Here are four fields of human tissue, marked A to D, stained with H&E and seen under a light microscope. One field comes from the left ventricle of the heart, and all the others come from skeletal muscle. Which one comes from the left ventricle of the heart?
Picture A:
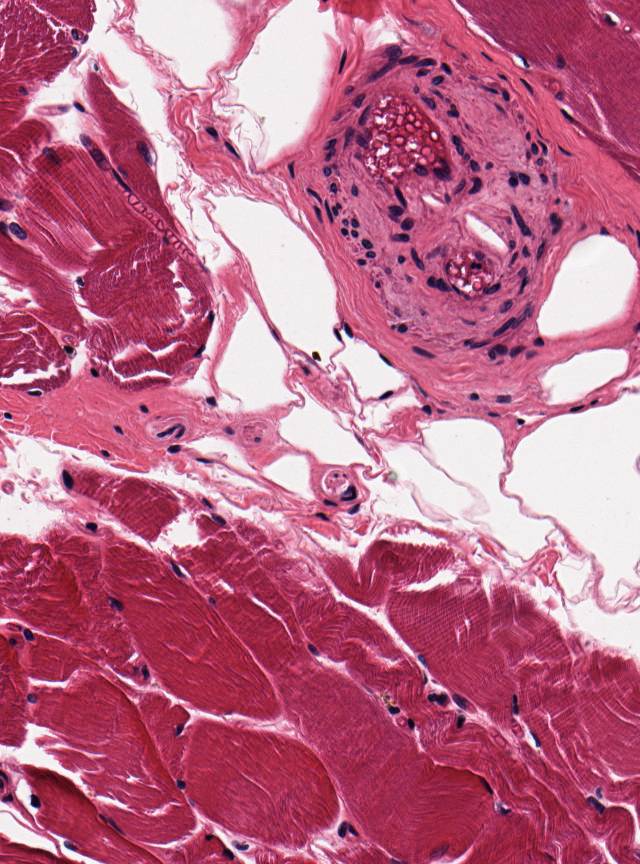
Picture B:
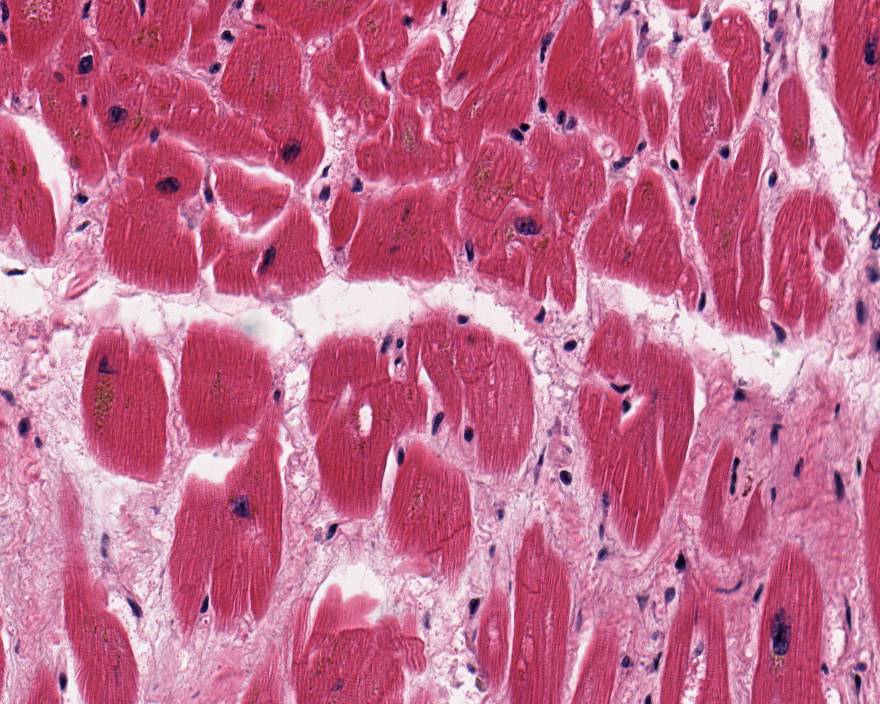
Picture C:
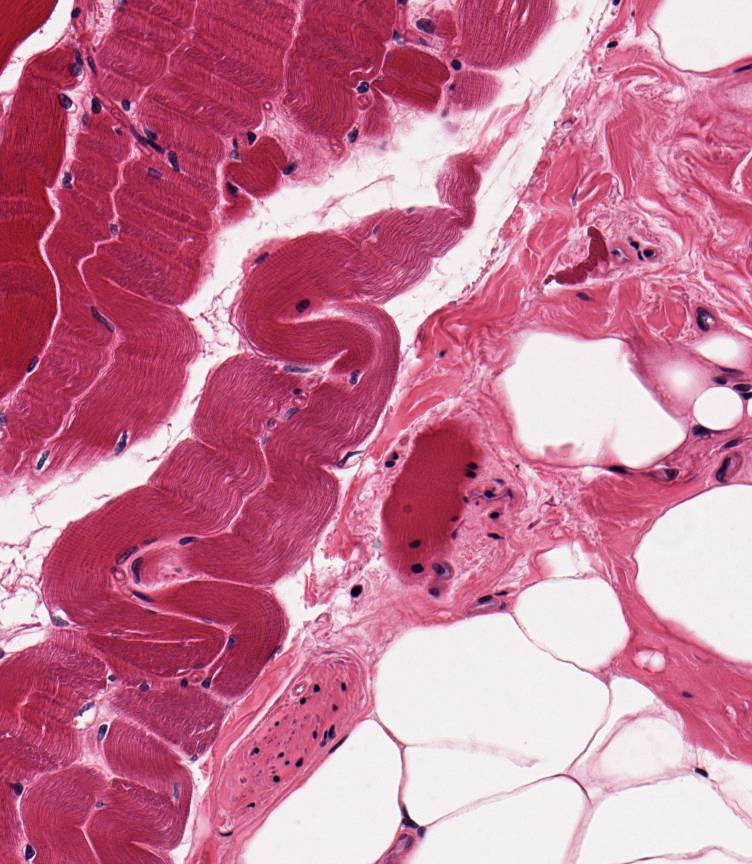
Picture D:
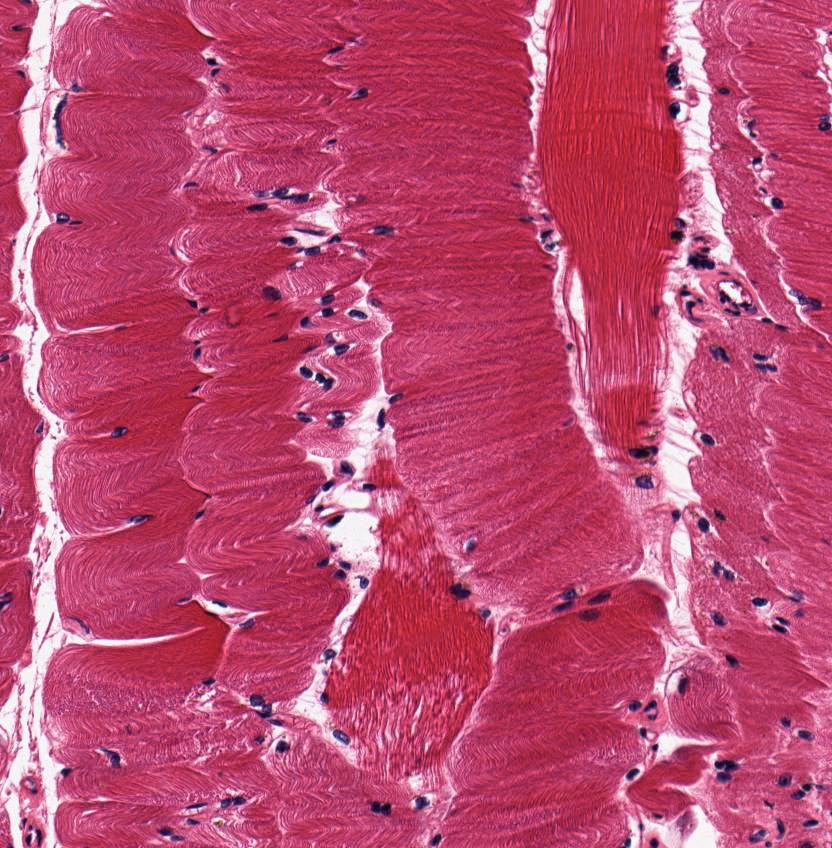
B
